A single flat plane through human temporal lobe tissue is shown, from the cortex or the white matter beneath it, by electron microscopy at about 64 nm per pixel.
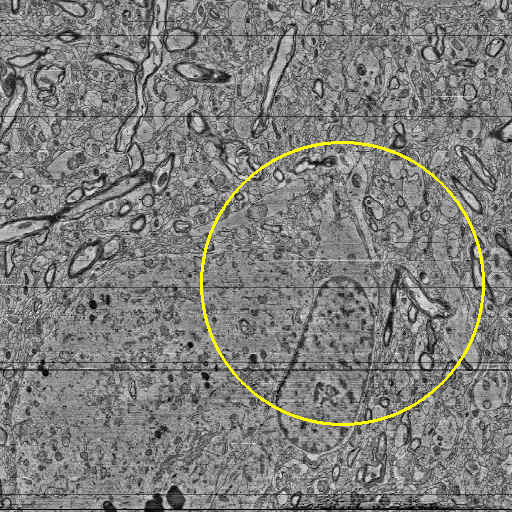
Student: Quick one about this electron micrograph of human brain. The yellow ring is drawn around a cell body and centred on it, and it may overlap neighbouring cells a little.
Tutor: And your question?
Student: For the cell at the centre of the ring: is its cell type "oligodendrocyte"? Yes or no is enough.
no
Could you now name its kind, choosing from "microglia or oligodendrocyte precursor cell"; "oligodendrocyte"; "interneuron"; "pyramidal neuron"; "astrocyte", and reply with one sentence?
The cell in question here is a microglial cell or oligodendrocyte precursor cell.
